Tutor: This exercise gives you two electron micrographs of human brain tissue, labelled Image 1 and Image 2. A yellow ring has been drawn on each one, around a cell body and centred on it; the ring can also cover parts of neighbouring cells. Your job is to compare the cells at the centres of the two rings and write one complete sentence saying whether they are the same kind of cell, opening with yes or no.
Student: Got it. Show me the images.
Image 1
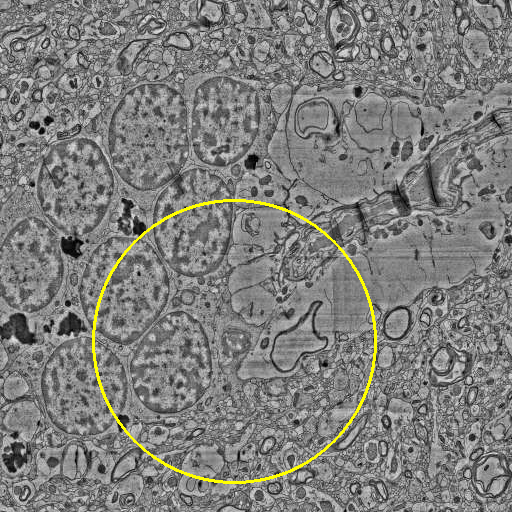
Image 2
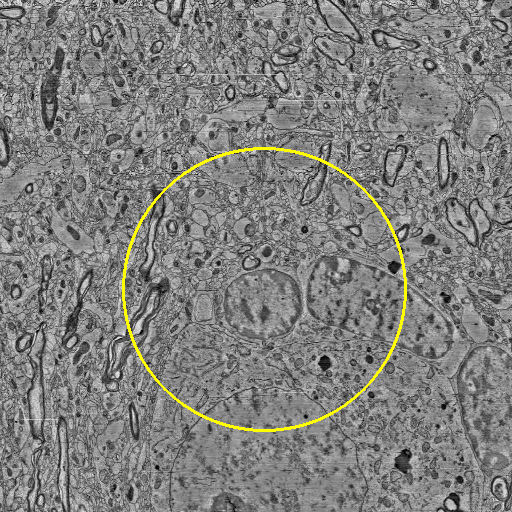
Yes, the two cells belong to the same kind.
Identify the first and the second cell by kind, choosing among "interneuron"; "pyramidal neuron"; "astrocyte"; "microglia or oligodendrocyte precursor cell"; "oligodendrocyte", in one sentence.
The cell in the first picture is an oligodendrocyte, and so is the one in the second.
